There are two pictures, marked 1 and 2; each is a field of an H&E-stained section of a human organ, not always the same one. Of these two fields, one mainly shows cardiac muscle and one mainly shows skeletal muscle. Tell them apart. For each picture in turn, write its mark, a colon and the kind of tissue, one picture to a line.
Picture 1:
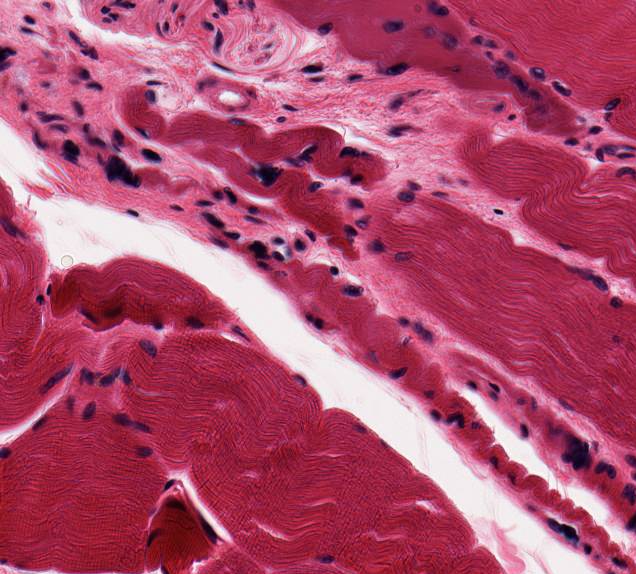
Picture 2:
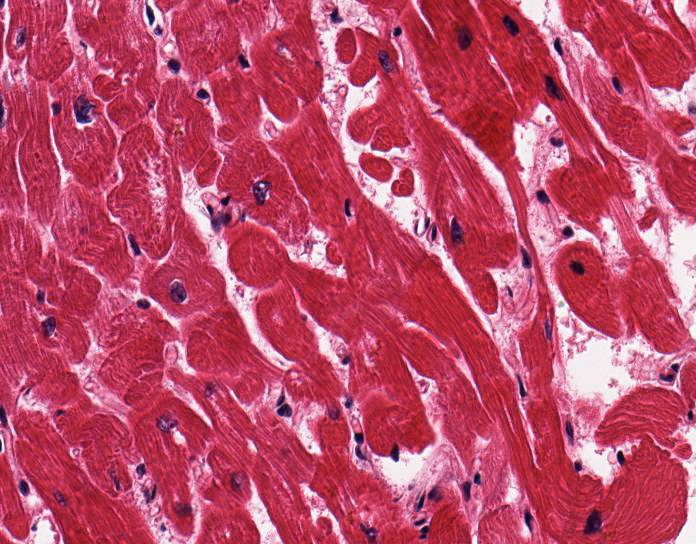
1: skeletal muscle
2: cardiac muscle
